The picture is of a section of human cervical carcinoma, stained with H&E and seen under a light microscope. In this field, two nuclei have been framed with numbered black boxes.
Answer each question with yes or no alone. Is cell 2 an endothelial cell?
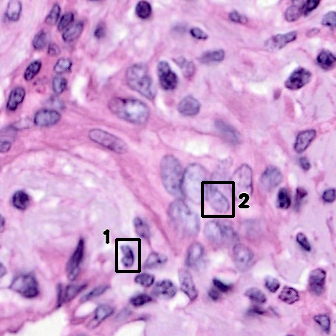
yes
